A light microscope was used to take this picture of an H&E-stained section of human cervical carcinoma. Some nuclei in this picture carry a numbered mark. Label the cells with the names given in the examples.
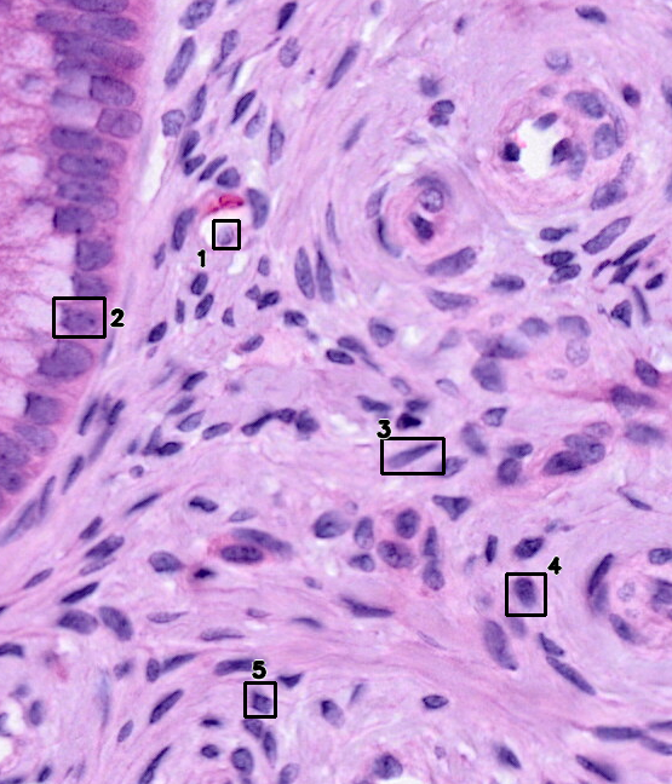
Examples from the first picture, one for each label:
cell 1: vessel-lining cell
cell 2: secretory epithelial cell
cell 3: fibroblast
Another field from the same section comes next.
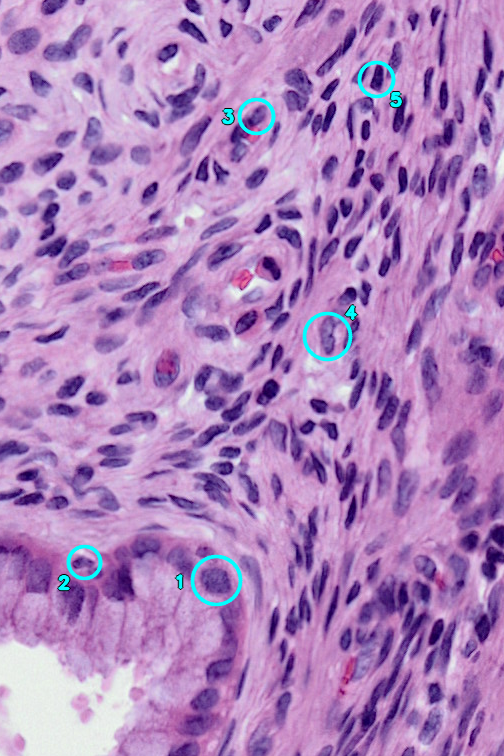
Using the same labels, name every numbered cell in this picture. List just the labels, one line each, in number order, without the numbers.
secretory epithelial cell
secretory epithelial cell
vessel-lining cell
vessel-lining cell
fibroblast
